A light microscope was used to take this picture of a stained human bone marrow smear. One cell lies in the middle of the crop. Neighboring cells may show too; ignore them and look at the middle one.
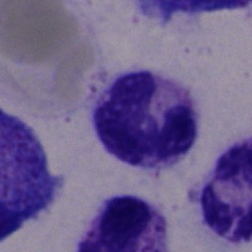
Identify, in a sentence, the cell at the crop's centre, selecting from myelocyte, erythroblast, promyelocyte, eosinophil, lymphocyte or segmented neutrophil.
The middle position in this crop is taken by a segmented neutrophil.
